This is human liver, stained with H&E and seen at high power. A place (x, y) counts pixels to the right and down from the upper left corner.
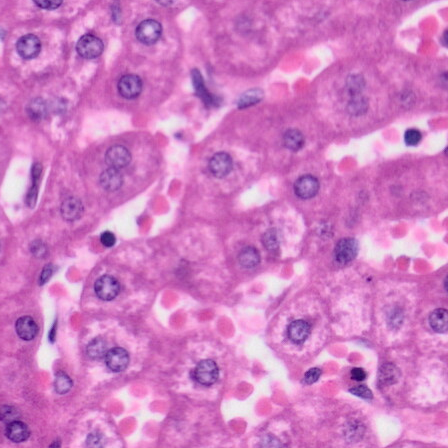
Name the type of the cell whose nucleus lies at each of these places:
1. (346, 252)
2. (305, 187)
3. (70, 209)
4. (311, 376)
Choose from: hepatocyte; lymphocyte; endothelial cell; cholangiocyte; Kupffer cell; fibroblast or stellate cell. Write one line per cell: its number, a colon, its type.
1: fibroblast or stellate cell
2: hepatocyte
3: hepatocyte
4: lymphocyte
